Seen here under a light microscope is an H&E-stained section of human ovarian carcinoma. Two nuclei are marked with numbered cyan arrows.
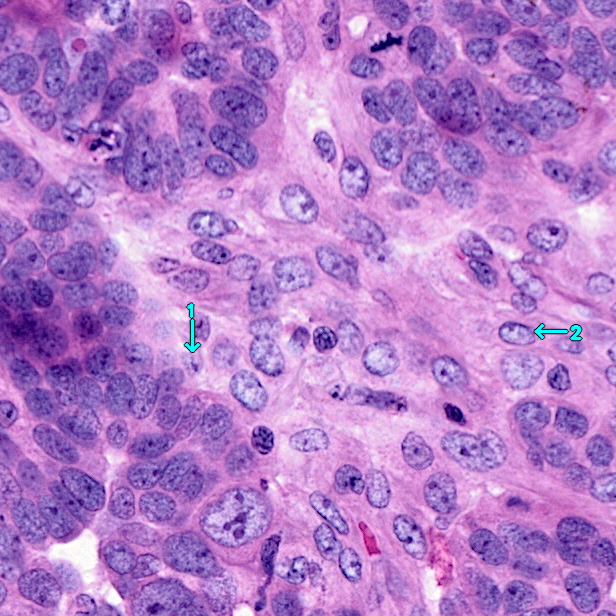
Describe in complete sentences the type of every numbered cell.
Cell 1 is a macrophage or monocyte and cell 2 is a fibroblast.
